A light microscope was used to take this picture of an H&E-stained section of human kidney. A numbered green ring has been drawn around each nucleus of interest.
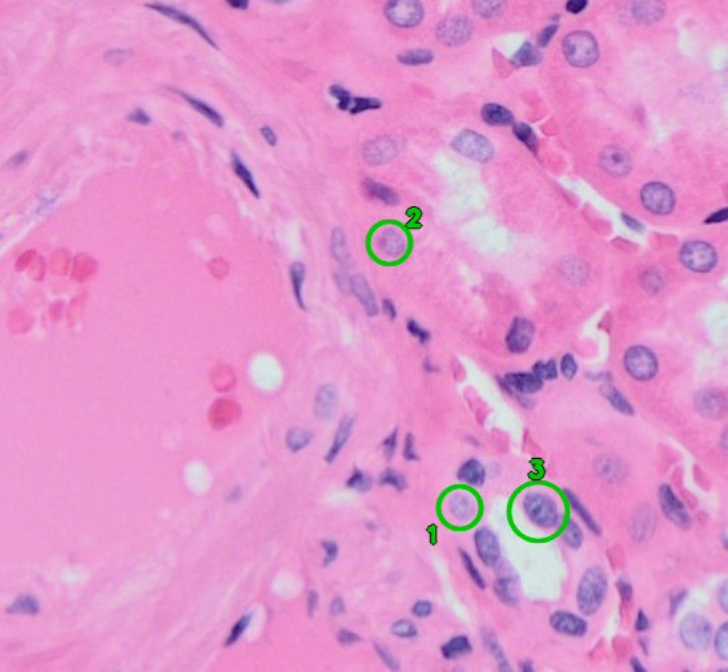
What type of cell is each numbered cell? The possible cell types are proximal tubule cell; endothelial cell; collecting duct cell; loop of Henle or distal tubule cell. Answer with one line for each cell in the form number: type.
1: collecting duct cell
2: proximal tubule cell
3: collecting duct cell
